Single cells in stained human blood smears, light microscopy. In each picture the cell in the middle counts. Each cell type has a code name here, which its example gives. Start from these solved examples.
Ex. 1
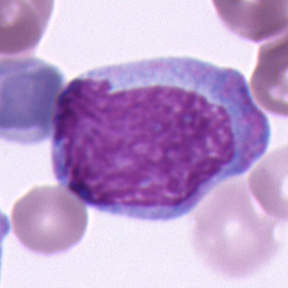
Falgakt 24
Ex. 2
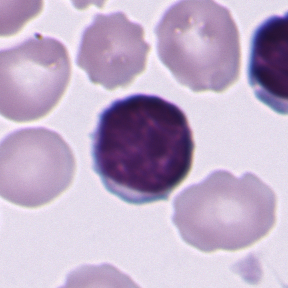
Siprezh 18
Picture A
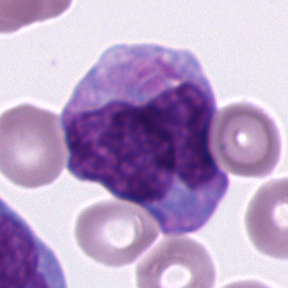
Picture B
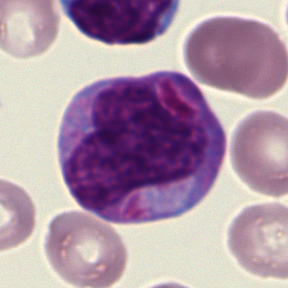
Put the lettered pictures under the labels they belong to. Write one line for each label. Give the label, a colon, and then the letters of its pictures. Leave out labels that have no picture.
Falgakt 24: A, B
